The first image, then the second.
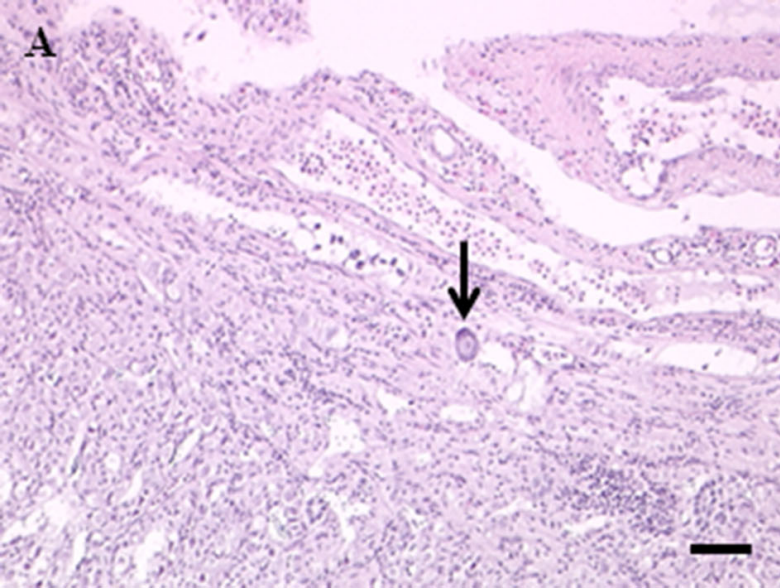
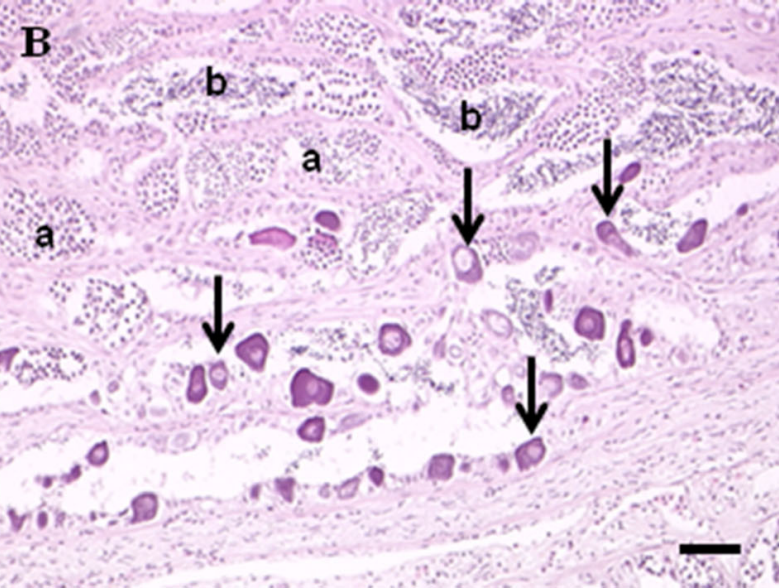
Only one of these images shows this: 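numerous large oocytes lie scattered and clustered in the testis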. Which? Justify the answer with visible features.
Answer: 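The second image. Second image: many large magenta-staining oocytes, several in clusters, among the sperm-filled lobules. First image: only one large oocyte among the testicular tissue.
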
